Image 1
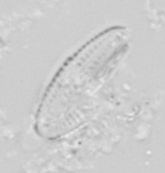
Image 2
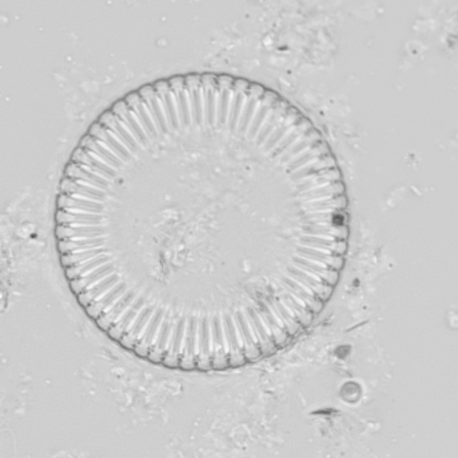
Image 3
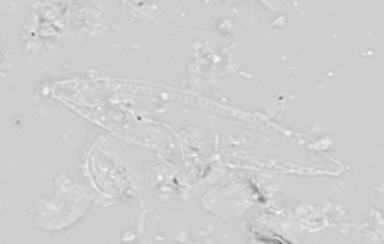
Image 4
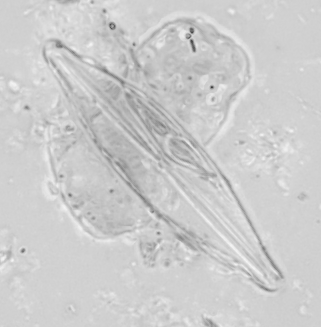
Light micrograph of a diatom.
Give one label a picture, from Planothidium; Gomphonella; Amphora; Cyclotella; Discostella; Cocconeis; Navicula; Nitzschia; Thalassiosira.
1: Amphora
2: Cyclotella
3: Nitzschia
4: Navicula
